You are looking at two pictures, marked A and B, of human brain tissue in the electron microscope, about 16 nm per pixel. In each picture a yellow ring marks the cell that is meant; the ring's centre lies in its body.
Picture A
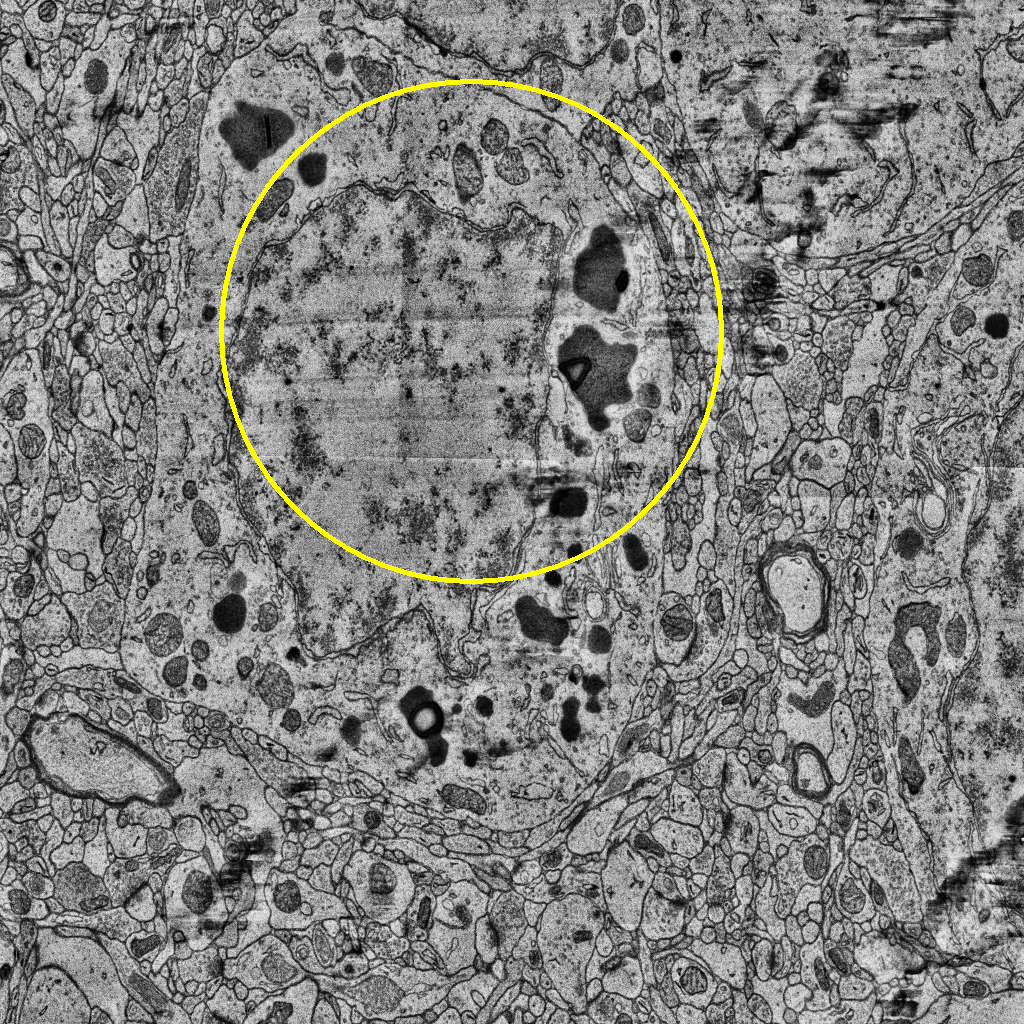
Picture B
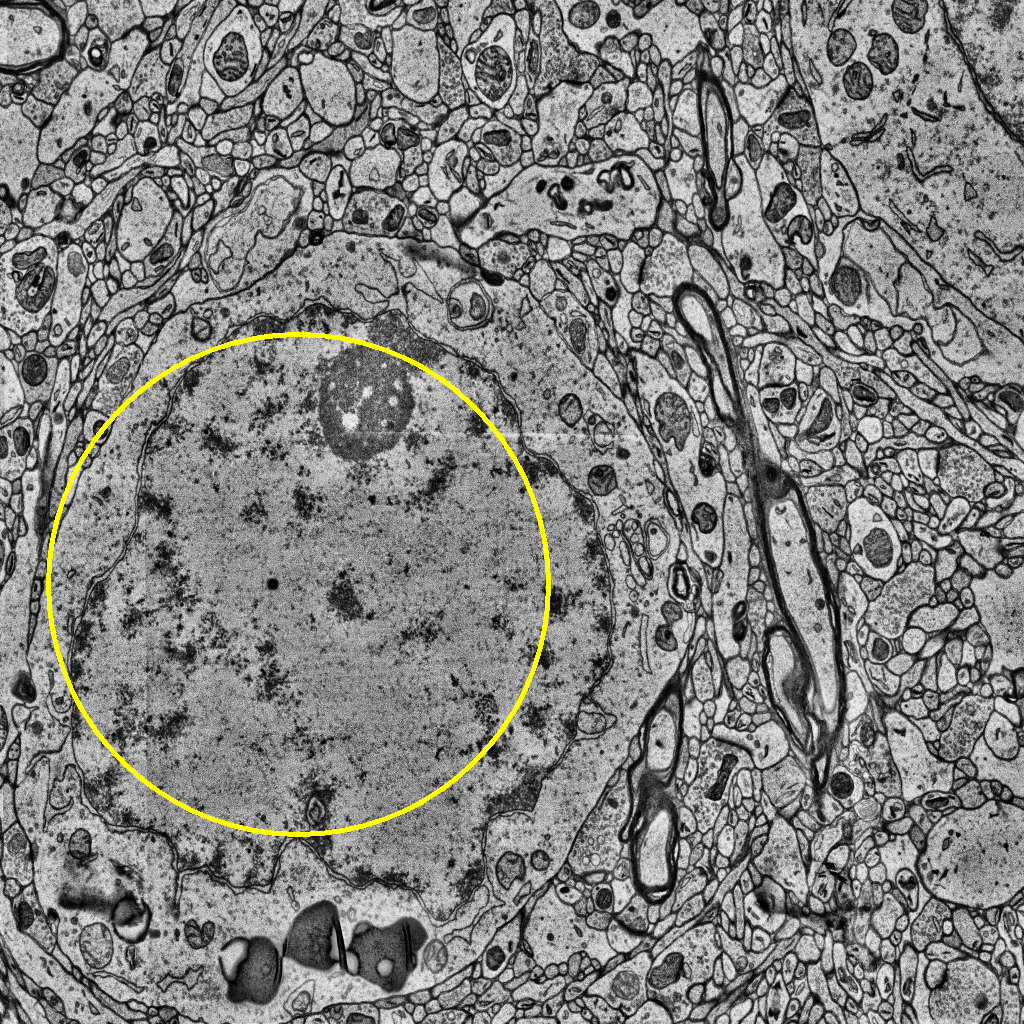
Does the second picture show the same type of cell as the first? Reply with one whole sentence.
Yes, both are interneurons.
